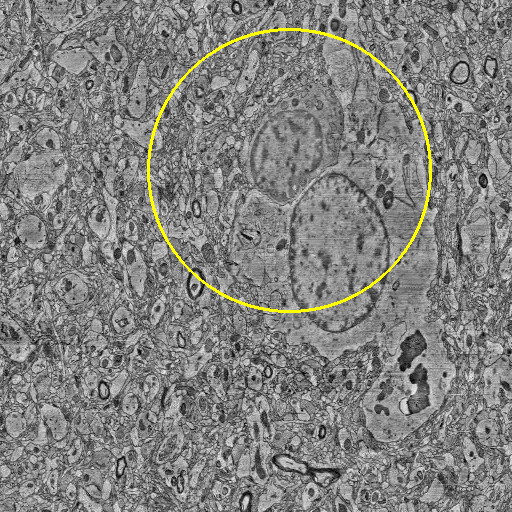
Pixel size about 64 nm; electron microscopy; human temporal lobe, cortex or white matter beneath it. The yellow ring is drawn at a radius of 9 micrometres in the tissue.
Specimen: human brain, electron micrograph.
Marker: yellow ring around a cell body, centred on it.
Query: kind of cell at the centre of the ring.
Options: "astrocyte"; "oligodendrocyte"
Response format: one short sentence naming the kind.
This cell body belongs to an oligodendrocyte.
